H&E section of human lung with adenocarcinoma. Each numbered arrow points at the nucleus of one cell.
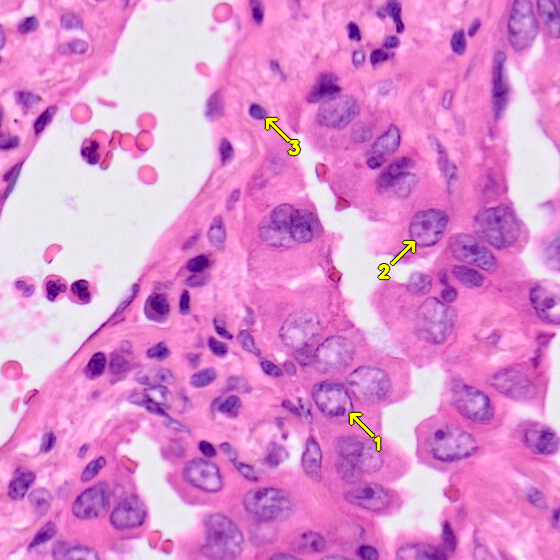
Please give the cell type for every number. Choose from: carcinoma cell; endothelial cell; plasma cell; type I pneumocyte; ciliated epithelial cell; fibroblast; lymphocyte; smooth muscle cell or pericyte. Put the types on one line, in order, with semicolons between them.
carcinoma cell; carcinoma cell; lymphocyte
